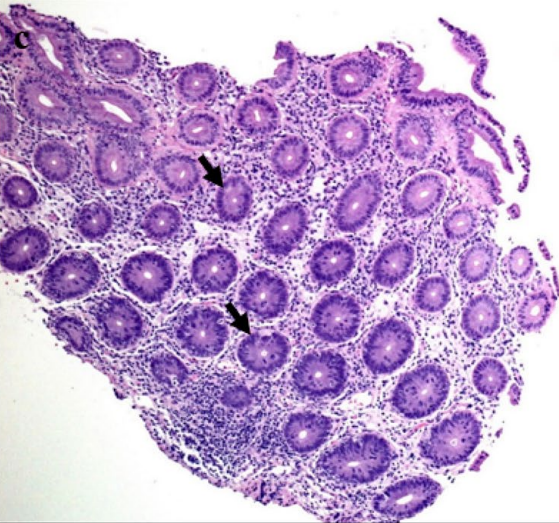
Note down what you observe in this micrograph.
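Colonic mucosa in which many crypts are cut in cross-section, giving rows of round, evenly spaced glands. Each crypt is lined by columnar epithelial cells with dark, crowded nuclei and purple cytoplasm, without the pale, mucin-filled goblet cells. A thin strip of surface epithelium runs along the upper edge. The lamina propria between the crypts contains many small dark-staining cells, with a denser cluster near the lower left.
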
